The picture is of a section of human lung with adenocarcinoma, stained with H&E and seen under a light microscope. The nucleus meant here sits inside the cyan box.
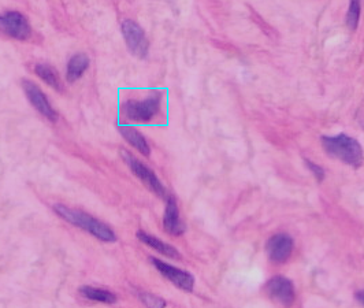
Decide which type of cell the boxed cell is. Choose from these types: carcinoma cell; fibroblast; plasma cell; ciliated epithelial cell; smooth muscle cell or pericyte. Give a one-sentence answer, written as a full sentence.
Among the cells in this section, the boxed cell is a smooth muscle cell or pericyte.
